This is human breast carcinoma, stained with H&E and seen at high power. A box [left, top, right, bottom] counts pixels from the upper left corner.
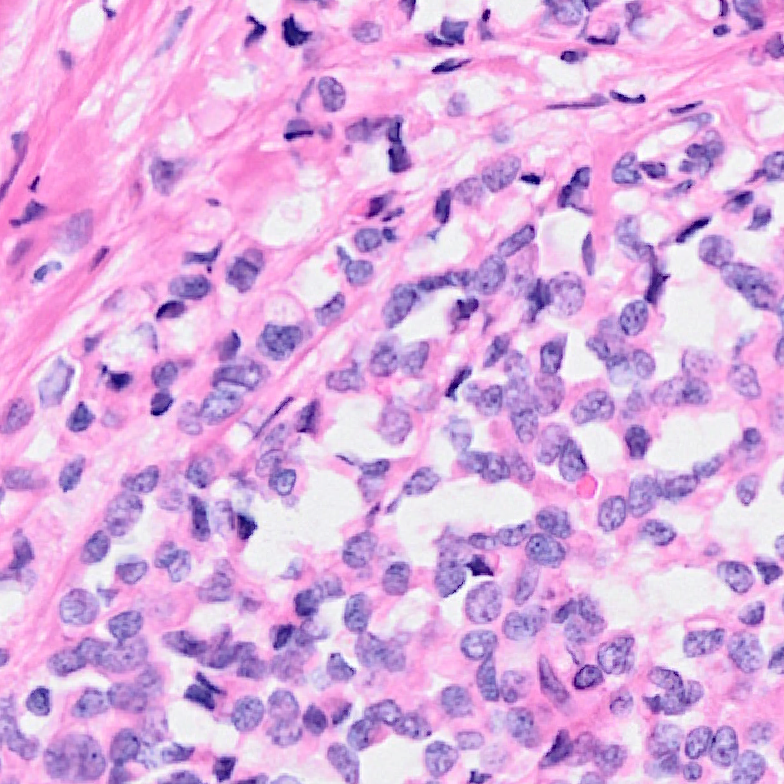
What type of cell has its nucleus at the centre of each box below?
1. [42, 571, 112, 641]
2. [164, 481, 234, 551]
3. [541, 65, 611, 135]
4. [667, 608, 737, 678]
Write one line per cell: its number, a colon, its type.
1: carcinoma cell
2: carcinoma cell
3: fibroblast
4: carcinoma cell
